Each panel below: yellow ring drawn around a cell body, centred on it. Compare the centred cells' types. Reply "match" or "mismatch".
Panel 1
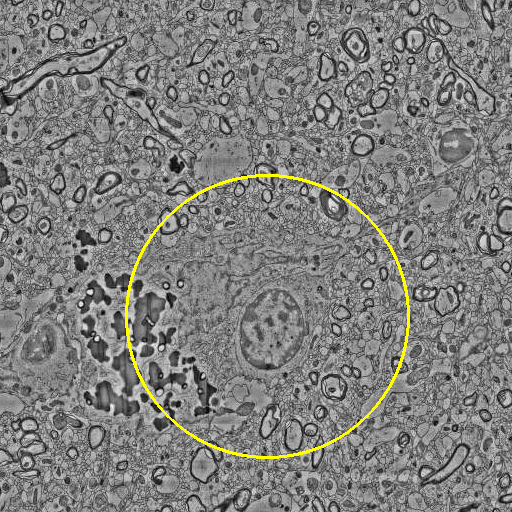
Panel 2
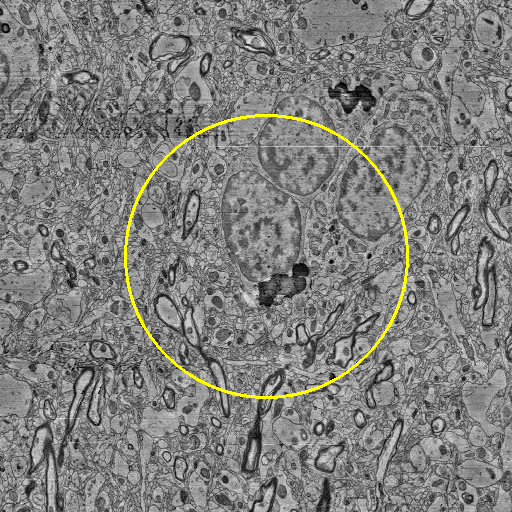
match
